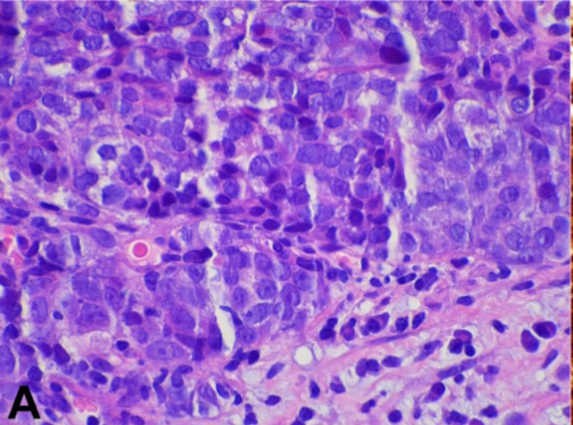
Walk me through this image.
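This is a carcinoma built of solid nests of large tumor cells, set apart by strands of pink fibrous stroma with small dark spindle-shaped nuclei. The tumor cells have large oval nuclei with fine chromatin and visible nucleoli, and a moderate rim of purplish cytoplasm; the cells are crowded together without forming glands.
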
